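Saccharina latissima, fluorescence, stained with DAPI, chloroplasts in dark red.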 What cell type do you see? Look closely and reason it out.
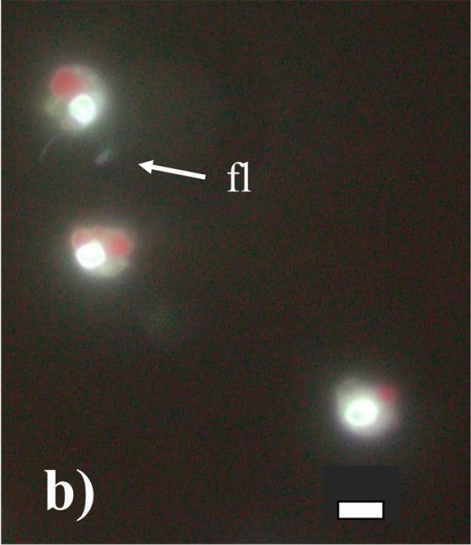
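Small isolated round cells on a dark background. Each cell has a bright white spot beside red bodies. A thin thread extends from one of the cells. On this evidence: zoospores.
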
